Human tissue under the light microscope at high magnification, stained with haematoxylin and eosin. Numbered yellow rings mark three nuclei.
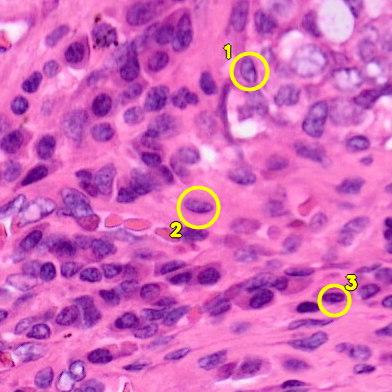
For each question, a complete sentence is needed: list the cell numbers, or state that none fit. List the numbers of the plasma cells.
Among the marked cells, a plasma cell is found only at number 3.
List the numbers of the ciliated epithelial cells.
Only the cell numbered 1 is a ciliated epithelial cell, and the others are something else.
